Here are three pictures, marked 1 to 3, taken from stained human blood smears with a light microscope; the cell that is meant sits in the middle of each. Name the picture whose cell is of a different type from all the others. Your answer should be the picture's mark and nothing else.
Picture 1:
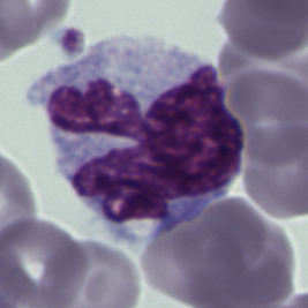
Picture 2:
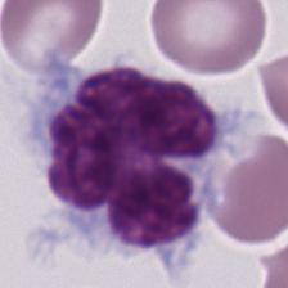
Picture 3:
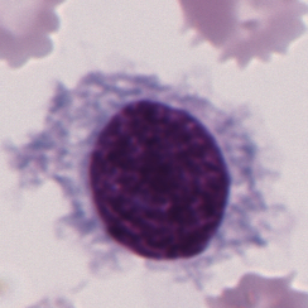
1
